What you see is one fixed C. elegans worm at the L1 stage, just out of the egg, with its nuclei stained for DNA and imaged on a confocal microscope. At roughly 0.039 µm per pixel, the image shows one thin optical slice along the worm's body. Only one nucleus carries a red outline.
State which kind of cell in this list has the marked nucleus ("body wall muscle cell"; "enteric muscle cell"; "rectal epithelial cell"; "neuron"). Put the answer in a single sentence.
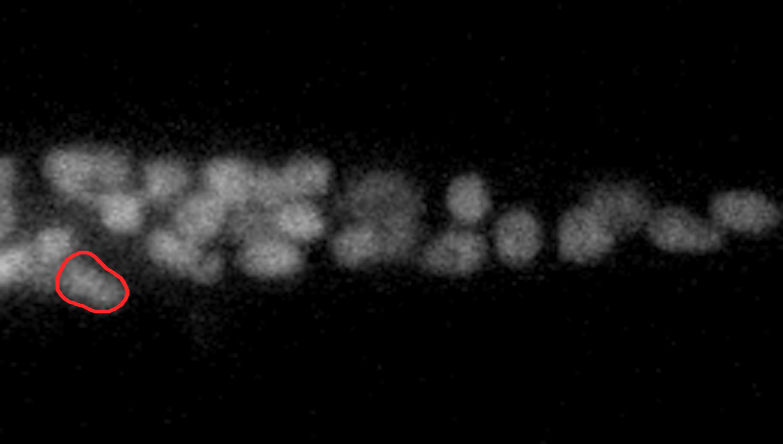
The nucleus comes from a rectal epithelial cell.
